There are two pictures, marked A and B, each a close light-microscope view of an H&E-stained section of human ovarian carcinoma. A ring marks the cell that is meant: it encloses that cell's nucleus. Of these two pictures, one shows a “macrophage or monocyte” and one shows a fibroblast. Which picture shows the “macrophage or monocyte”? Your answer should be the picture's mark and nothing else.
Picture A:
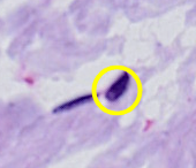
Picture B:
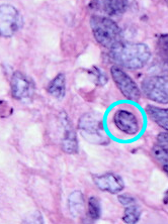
B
